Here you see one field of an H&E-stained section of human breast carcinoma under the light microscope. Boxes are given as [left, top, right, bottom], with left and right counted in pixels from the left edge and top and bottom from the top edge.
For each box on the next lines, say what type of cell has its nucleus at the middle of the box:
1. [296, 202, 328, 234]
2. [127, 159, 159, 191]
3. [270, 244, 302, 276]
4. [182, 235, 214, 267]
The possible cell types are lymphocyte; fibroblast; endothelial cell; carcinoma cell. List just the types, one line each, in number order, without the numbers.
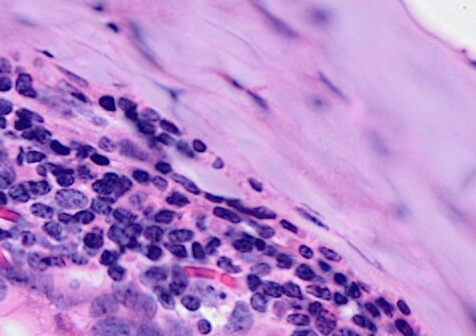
fibroblast
lymphocyte
lymphocyte
lymphocyte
